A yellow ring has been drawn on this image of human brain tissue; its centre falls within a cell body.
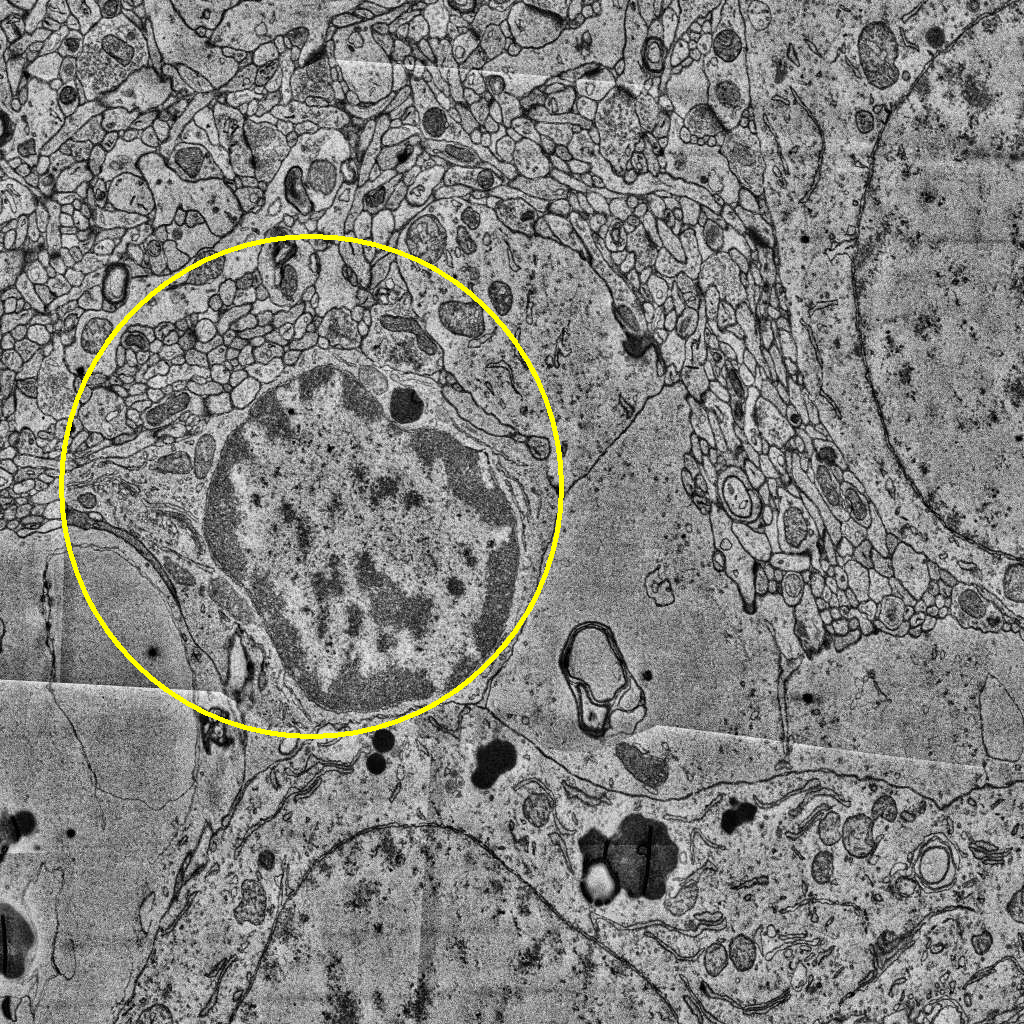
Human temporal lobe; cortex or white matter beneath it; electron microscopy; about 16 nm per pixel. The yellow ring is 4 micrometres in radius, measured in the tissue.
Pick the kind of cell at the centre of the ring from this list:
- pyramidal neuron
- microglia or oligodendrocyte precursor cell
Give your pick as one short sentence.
The centre of the ring holds a microglial cell or oligodendrocyte precursor cell.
